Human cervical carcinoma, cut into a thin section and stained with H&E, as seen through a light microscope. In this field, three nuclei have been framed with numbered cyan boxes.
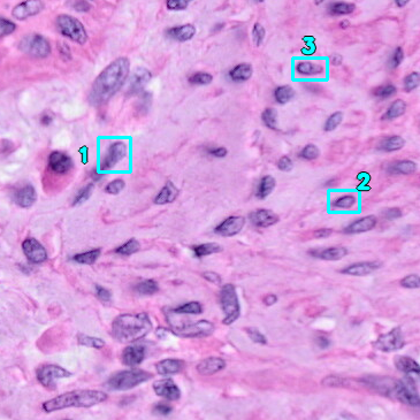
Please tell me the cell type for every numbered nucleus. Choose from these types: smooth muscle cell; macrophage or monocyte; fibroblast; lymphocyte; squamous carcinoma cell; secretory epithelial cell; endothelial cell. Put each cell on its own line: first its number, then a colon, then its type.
1: fibroblast
2: smooth muscle cell
3: smooth muscle cell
